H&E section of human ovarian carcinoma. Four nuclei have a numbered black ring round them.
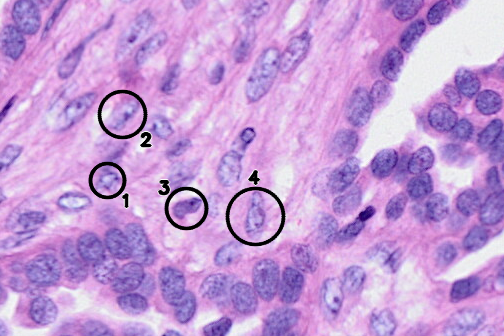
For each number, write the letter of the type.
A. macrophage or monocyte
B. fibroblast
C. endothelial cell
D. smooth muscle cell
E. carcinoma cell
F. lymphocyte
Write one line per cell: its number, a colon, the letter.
1: B
2: B
3: A
4: B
